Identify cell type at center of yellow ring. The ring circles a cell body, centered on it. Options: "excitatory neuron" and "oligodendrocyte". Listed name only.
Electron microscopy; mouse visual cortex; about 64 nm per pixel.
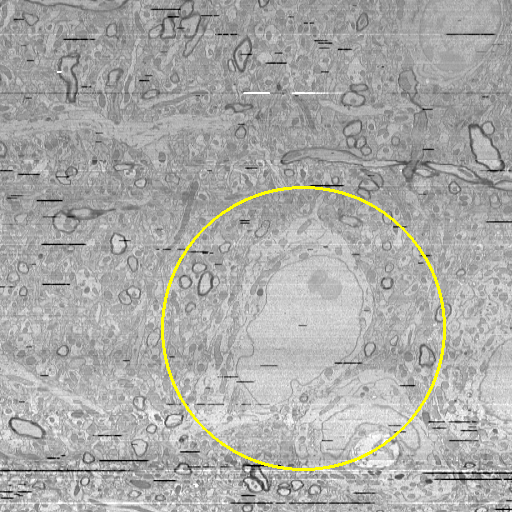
excitatory neuron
